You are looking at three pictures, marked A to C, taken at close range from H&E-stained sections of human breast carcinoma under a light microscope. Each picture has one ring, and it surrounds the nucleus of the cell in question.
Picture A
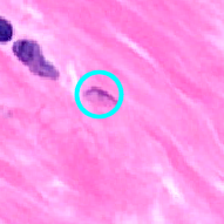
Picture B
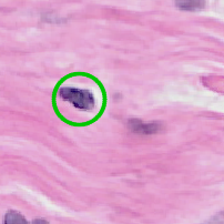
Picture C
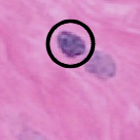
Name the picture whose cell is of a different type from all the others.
A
